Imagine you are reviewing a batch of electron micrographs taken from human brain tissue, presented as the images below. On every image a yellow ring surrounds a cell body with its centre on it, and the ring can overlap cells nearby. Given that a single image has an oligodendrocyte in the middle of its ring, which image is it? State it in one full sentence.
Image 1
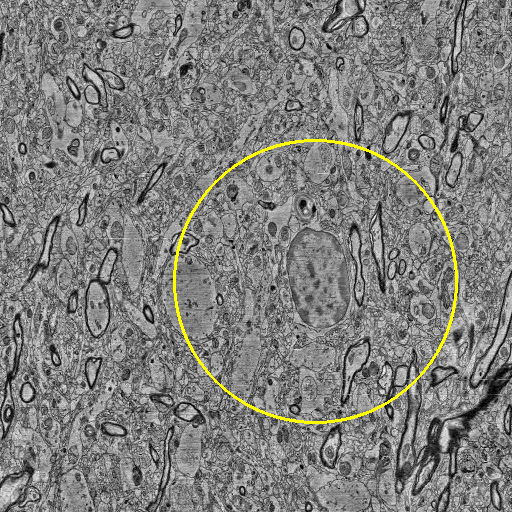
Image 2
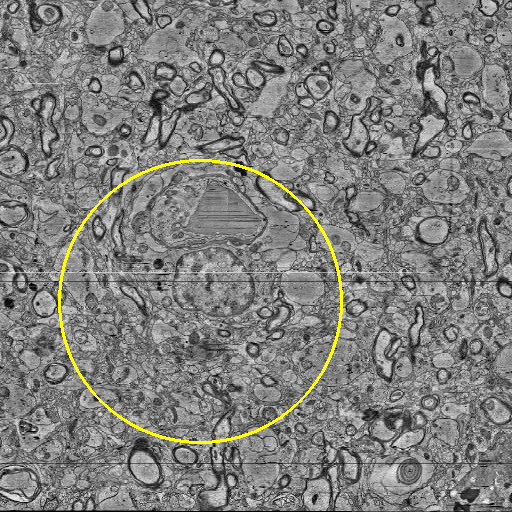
Of all the images, number 2 has the described cell at the centre of its ring.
